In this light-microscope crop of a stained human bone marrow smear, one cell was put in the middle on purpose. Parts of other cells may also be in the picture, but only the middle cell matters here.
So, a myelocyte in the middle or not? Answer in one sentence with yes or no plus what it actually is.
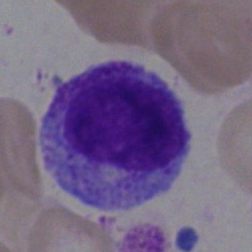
Yes, it is a myelocyte that lies in the middle.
